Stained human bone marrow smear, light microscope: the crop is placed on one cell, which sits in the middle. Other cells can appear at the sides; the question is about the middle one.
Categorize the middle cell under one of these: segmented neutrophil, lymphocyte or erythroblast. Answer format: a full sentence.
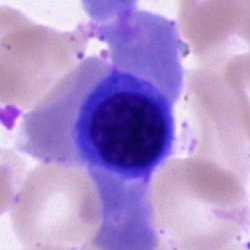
Within this crop, an erythroblast occupies the central position.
